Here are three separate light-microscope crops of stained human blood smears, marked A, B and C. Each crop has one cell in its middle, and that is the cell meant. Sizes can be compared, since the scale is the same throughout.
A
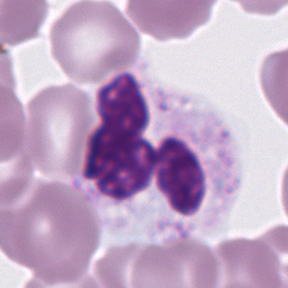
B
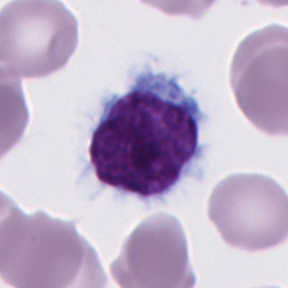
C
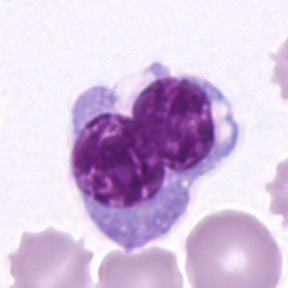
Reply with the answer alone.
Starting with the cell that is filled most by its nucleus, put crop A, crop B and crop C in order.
B, C, A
